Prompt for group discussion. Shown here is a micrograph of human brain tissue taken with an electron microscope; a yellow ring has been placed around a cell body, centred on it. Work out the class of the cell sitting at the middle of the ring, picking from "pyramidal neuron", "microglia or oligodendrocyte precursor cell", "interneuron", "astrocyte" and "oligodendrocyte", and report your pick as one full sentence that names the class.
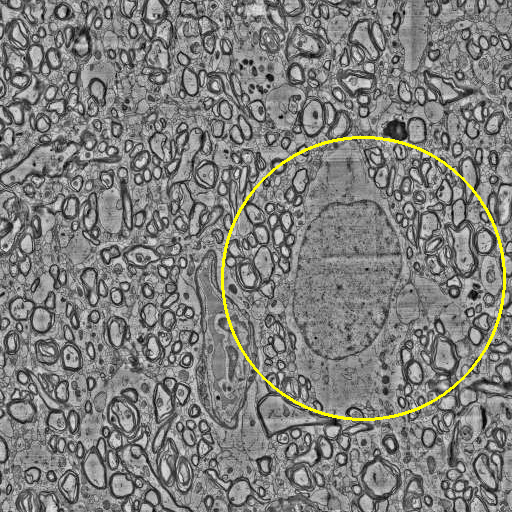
The cell sitting at the middle of the yellow ring is an astrocyte.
